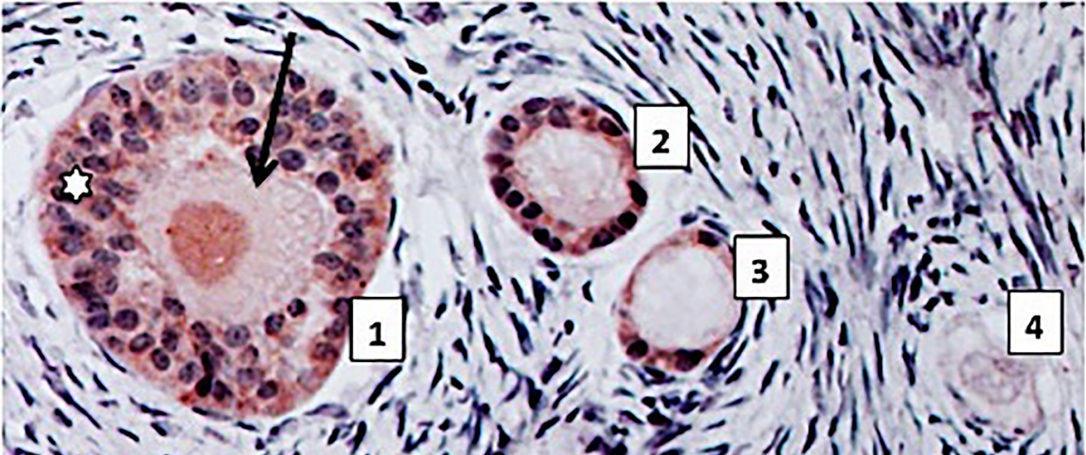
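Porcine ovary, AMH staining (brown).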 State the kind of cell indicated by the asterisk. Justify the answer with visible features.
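The asterisk lies among small cells with oval dark nuclei layered around the central large cell. These cells have brown cytoplasm.
Conclusion: granulosa cells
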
